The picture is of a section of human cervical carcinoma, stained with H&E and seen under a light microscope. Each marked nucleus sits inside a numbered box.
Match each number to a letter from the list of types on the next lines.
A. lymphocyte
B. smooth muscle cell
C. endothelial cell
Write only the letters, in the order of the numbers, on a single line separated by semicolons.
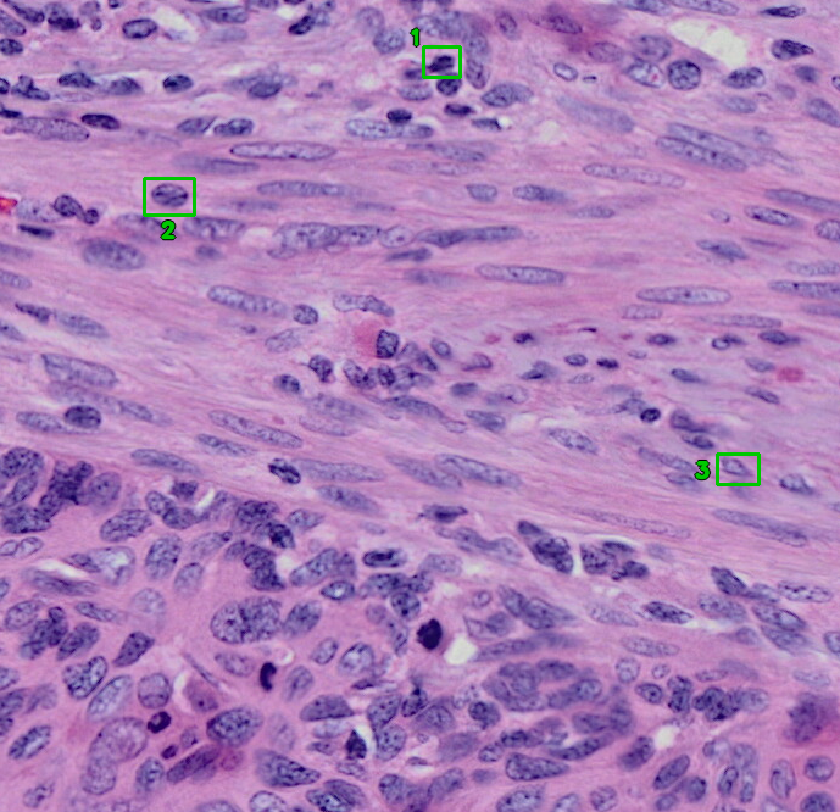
A; A; B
